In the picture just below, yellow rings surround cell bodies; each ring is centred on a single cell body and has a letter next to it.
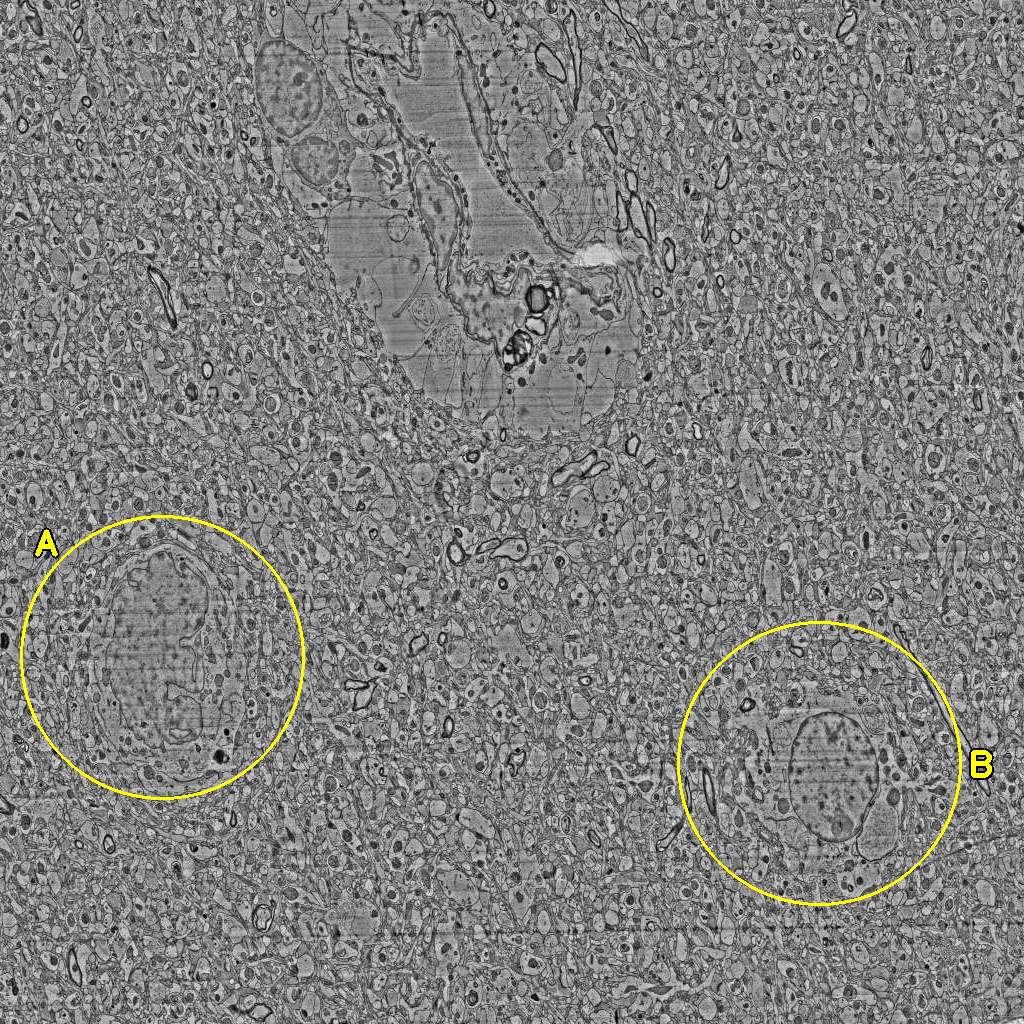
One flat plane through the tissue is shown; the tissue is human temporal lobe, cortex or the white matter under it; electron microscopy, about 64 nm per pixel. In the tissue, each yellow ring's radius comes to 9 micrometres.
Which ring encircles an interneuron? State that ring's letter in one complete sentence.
The letter A marks the ring centred on the cell asked for in the picture.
